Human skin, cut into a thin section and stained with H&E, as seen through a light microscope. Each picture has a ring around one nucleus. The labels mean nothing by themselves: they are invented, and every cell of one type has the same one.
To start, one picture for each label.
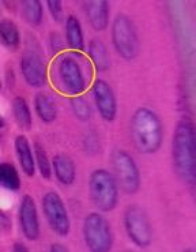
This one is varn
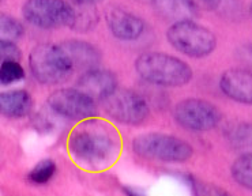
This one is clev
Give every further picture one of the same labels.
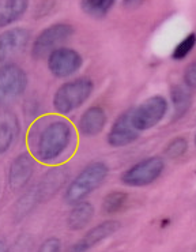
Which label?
varn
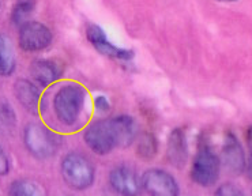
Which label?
clev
